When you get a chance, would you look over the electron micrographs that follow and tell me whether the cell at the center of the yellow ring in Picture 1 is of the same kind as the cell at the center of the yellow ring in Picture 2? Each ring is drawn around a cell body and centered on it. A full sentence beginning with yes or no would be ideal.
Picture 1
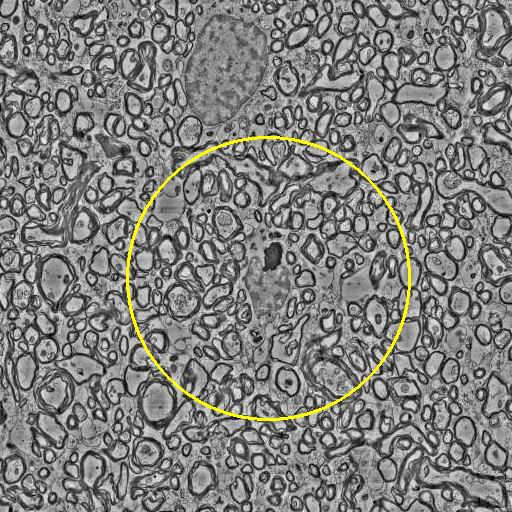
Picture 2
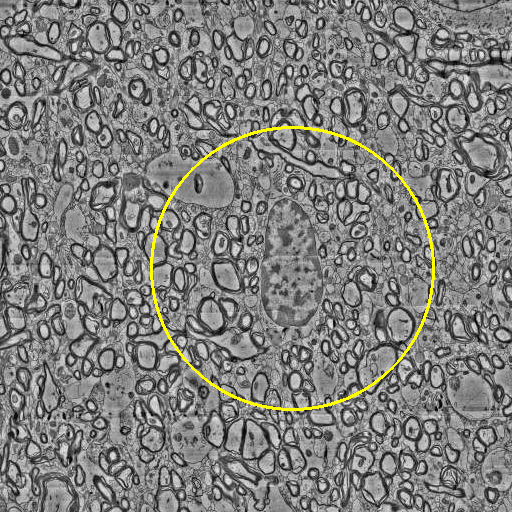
No, they are two kinds of cell.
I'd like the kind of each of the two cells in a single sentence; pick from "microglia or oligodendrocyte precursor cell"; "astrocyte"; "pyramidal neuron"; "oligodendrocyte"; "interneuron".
The first ring marks an oligodendrocyte, and the second ring marks a microglial cell or oligodendrocyte precursor cell.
